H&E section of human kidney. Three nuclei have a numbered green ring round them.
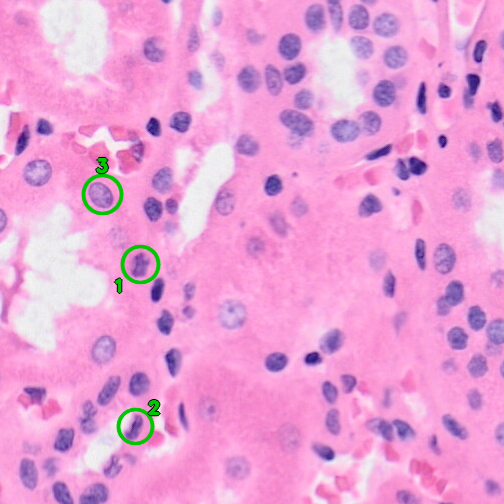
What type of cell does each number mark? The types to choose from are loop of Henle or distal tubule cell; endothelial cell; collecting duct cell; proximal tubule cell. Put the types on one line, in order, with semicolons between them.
proximal tubule cell; collecting duct cell; proximal tubule cell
